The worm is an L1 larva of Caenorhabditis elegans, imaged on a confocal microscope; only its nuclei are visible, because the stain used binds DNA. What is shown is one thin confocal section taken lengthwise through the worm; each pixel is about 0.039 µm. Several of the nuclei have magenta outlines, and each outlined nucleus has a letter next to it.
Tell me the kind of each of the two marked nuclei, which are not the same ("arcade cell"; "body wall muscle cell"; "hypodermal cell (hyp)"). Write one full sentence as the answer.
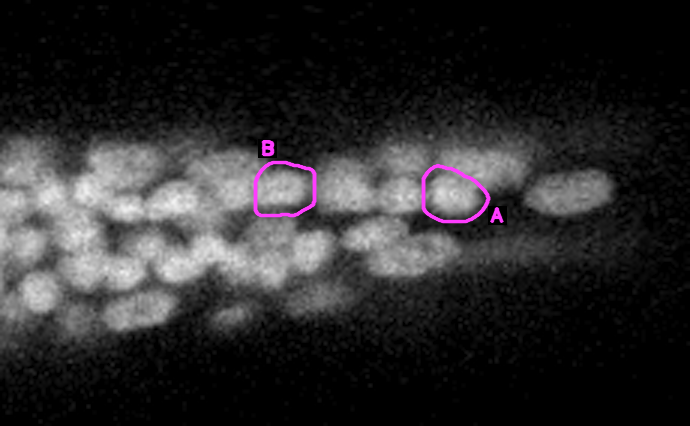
Nucleus A comes from an arcade cell and nucleus B from a hypodermal cell (hyp).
